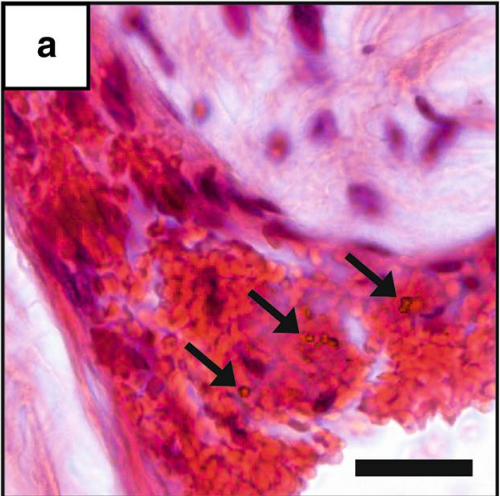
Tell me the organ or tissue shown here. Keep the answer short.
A: blood vessel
